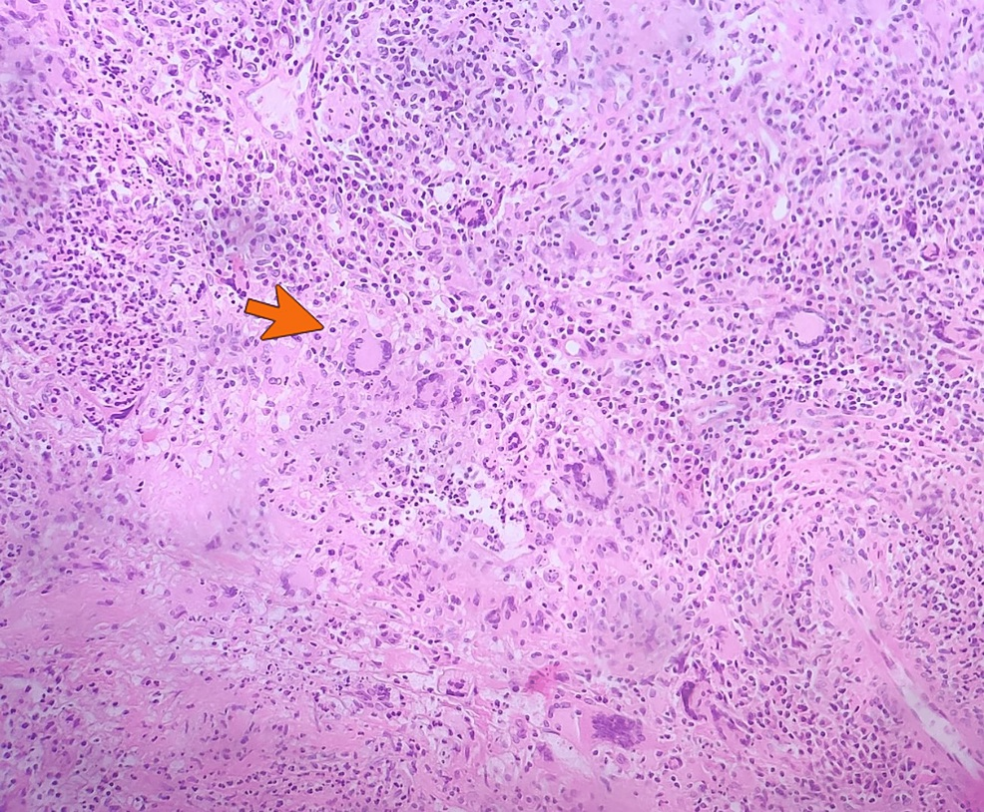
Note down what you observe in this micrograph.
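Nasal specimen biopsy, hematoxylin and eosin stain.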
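Dense sheets of small inflammatory cells with dark round nuclei fill much of the field. Among them lie looser, paler pink areas of epithelioid cells with oval nuclei. Scattered through these areas are several large multinucleated giant cells, whose many nuclei form a ring or horseshoe at the edge of abundant pink cytoplasm. Bands of paler pink fibrous stroma cross the lower part of the field.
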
